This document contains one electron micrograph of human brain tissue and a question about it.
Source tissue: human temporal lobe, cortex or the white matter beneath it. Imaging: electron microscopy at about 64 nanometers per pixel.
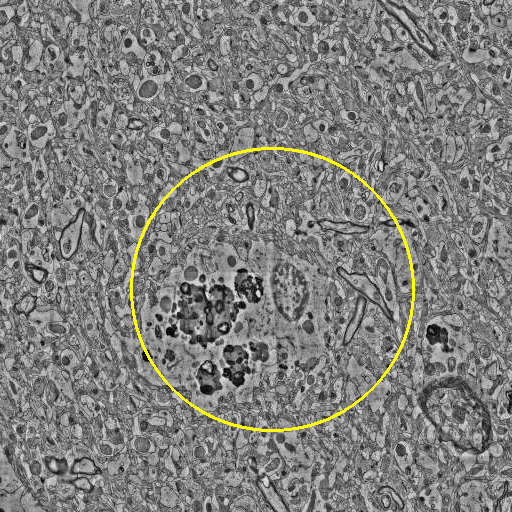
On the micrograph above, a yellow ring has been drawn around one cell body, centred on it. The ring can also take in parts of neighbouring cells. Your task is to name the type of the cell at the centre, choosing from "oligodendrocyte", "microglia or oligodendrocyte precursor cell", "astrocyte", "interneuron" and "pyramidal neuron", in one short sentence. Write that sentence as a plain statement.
Here the ring is centred on an astrocyte.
